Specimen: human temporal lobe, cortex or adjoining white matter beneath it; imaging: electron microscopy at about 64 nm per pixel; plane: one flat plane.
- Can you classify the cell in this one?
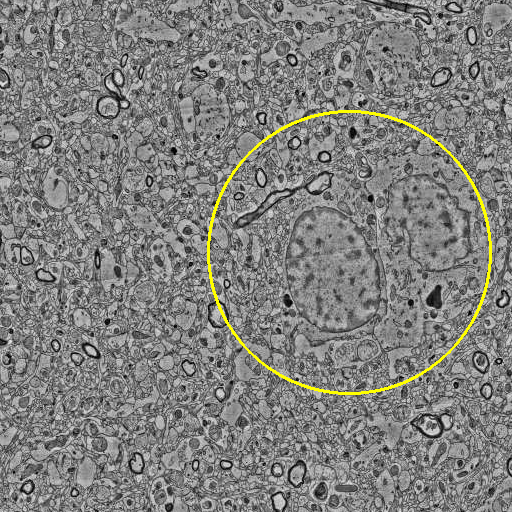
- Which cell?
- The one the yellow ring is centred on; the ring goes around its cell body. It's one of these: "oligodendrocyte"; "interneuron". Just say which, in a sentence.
The cell body in the ring belongs to an oligodendrocyte.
